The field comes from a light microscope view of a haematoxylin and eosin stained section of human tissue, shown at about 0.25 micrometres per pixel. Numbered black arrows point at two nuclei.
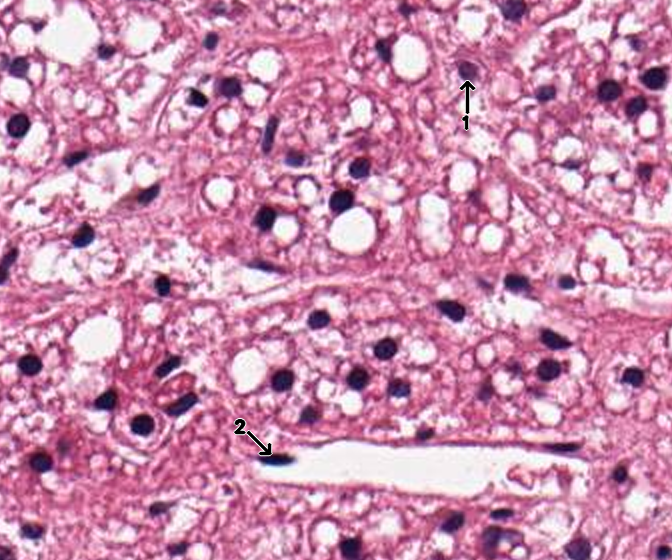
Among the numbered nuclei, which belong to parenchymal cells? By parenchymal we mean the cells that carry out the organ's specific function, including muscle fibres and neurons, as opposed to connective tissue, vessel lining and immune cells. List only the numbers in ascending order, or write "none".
1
